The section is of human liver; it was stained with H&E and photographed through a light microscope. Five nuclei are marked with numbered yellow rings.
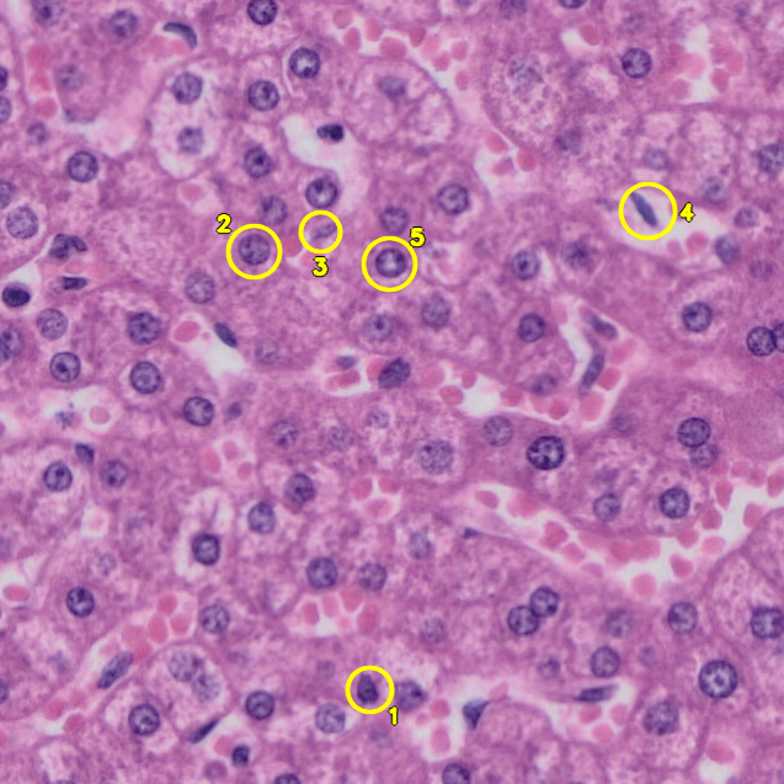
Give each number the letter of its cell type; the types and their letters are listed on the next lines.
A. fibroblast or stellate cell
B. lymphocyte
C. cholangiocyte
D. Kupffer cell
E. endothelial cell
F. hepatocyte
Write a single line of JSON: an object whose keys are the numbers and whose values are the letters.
{"1": "A", "2": "F", "3": "D", "4": "B", "5": "F"}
